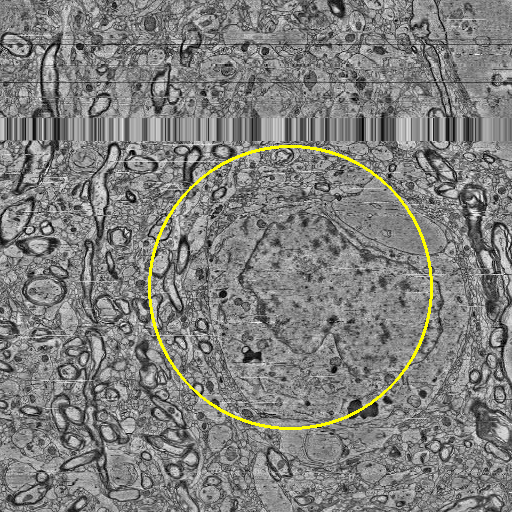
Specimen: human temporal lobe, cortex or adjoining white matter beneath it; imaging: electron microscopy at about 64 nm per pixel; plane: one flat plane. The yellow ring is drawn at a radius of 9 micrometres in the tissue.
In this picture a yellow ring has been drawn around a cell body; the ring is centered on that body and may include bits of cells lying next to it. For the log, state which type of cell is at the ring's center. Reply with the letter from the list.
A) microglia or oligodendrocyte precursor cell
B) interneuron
B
